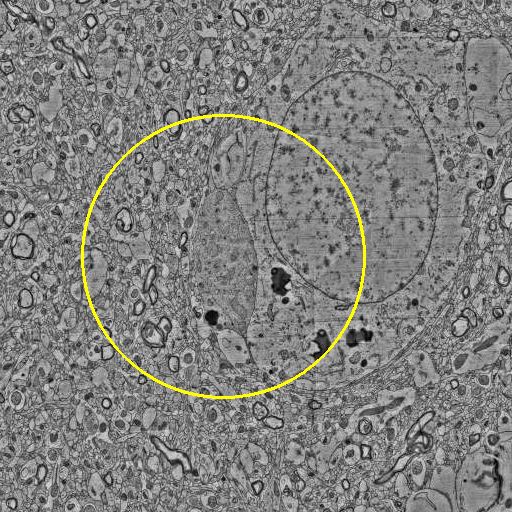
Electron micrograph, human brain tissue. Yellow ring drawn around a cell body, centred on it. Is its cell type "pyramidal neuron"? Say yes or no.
no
